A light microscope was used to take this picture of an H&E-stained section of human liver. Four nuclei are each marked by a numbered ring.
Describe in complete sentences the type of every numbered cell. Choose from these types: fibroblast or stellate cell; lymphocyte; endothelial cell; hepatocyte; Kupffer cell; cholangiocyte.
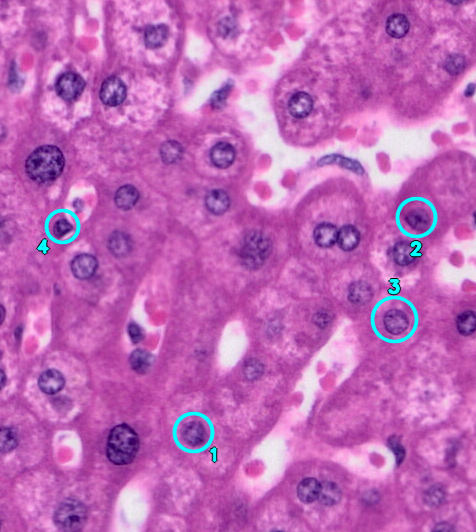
Cell 1 is a hepatocyte, cell 2 is a hepatocyte, cell 3 is a hepatocyte and cell 4 is a fibroblast or stellate cell.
